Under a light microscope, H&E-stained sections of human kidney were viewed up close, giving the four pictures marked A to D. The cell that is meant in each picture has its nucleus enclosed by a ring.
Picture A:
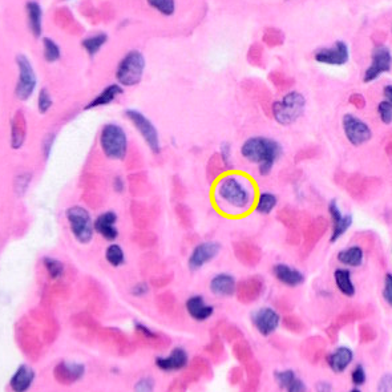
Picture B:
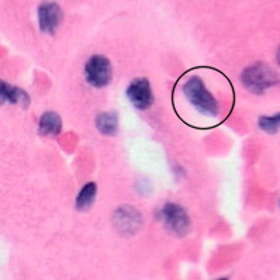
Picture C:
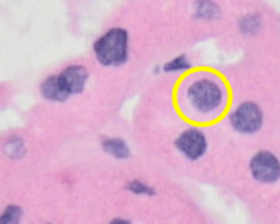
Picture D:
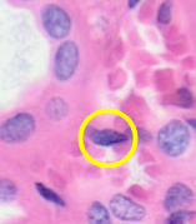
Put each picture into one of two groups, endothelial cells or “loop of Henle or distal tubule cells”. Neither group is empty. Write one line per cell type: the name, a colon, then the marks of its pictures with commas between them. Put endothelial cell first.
endothelial cell: A, B, D
loop of Henle or distal tubule cell: C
